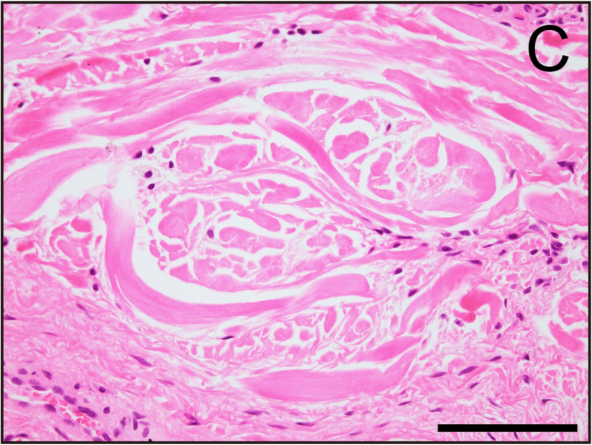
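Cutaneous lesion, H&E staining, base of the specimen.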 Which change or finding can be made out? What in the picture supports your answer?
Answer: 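Eosinophilic changes and thickening. The fibre bundles are broad and deep pink. Thick glassy bands curve around a cluster of smaller pink bundles. Scattered small dark nuclei lie between the bundles.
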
